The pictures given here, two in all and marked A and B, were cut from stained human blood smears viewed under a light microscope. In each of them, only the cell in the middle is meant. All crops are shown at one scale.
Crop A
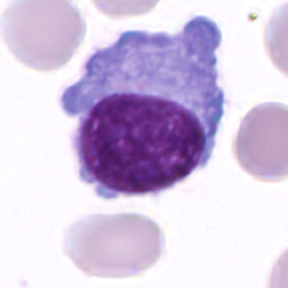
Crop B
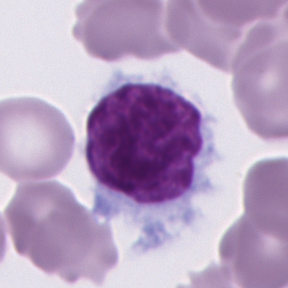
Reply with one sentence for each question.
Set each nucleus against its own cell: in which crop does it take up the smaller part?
Of the two, the nucleus in crop A leaves more room for cytoplasm.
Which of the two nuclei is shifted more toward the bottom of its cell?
It is the nucleus in crop A that lies further toward the bottom of its cell.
